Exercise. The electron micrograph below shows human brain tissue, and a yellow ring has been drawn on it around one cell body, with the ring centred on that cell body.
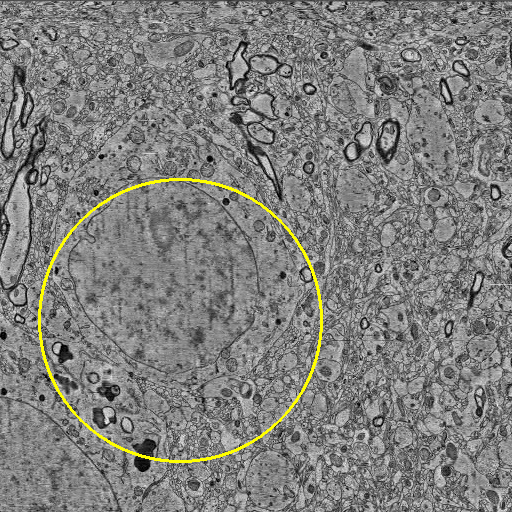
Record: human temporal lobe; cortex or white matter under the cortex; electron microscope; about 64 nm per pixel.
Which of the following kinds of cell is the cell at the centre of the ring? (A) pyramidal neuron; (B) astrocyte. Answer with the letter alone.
A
